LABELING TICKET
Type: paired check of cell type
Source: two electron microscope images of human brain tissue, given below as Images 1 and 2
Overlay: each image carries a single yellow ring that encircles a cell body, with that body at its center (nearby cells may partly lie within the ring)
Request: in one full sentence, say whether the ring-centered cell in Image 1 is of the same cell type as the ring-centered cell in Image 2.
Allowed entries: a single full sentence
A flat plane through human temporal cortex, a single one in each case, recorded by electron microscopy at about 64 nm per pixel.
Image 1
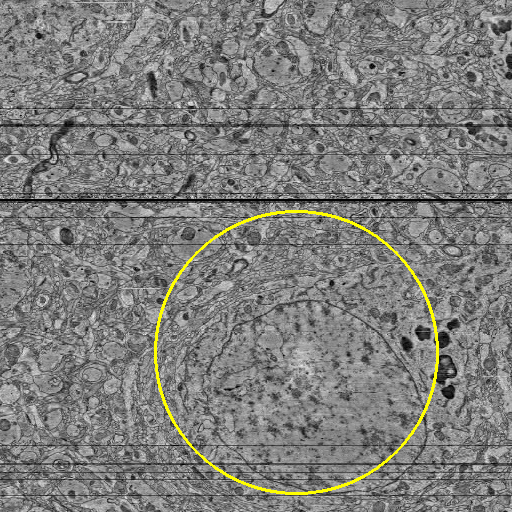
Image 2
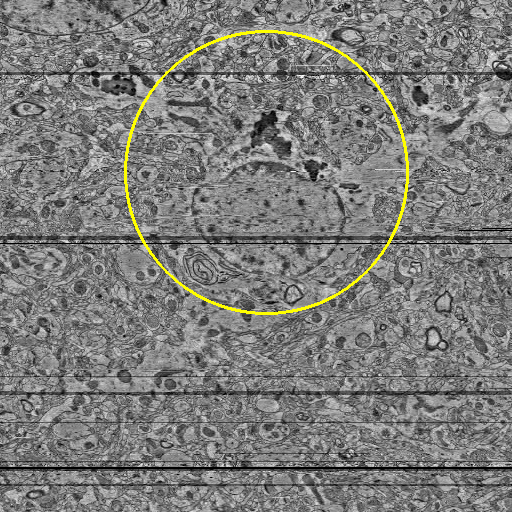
No, the cells centered in the rings of Image 1 and Image 2 are of two types.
